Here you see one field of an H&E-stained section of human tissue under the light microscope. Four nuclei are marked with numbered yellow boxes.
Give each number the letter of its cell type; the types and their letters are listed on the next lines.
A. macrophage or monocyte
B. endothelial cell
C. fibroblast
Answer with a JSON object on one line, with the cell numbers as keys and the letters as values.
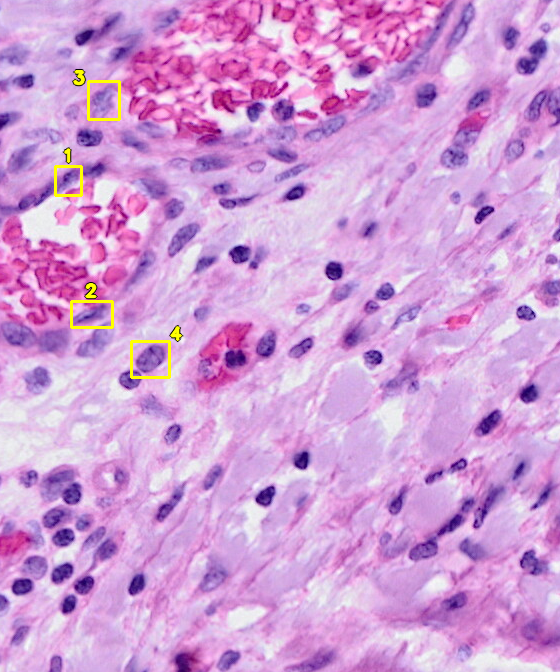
{"1": "B", "2": "B", "3": "B", "4": "A"}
